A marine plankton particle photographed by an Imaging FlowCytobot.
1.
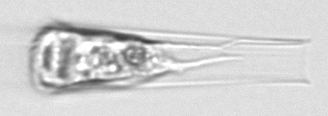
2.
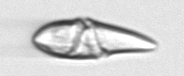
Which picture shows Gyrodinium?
Picture 2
